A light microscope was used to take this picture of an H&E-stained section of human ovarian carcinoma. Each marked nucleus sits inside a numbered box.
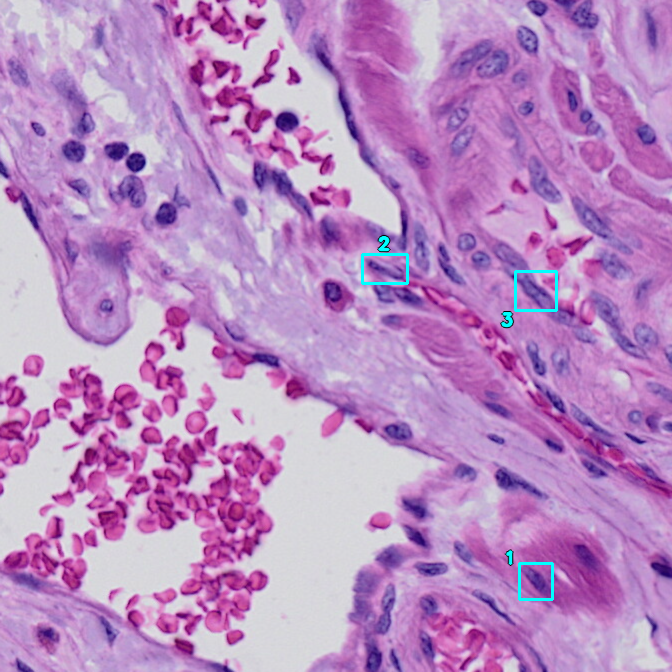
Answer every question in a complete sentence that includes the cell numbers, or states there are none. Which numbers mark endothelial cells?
The cells the numbers 2 and 3 point to are endothelial cells.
